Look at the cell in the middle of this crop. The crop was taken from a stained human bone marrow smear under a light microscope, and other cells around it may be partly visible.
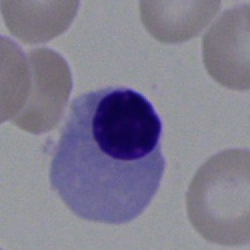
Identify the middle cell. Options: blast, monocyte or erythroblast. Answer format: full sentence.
The crop's centre is taken up by an erythroblast.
